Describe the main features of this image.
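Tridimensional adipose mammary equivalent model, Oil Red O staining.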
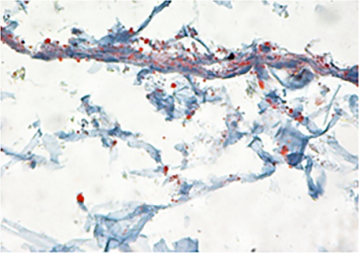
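Pale blue, irregular sheets and strands of material cross the field, with open white spaces between them. Numerous small round red droplets lie along these strands. They are most densely packed along a thick band running across the upper part of the field. Fewer red droplets are scattered over the thinner strands below.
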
